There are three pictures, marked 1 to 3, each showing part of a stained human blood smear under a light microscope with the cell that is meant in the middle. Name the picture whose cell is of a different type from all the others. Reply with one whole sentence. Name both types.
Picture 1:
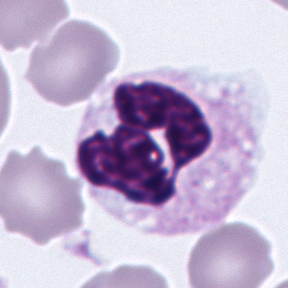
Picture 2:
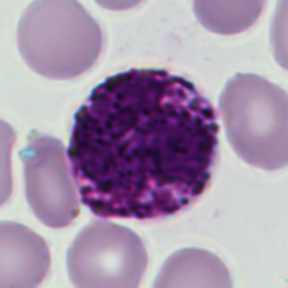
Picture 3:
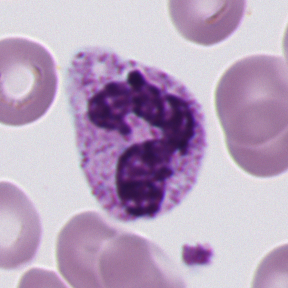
Unlike the rest, which show segmented neutrophils, picture 2 shows a basophil.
